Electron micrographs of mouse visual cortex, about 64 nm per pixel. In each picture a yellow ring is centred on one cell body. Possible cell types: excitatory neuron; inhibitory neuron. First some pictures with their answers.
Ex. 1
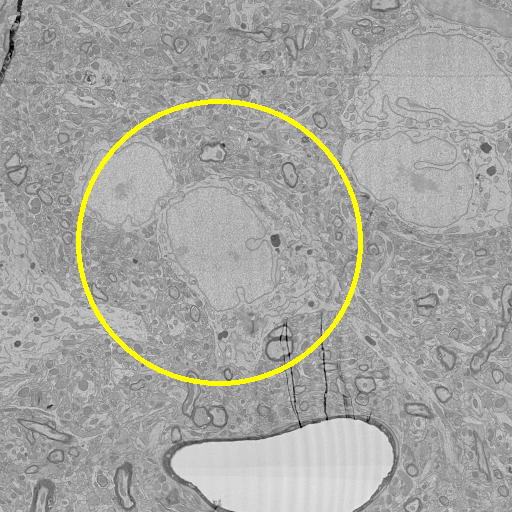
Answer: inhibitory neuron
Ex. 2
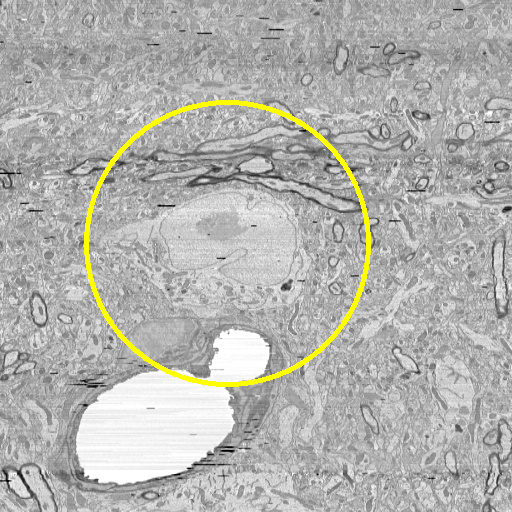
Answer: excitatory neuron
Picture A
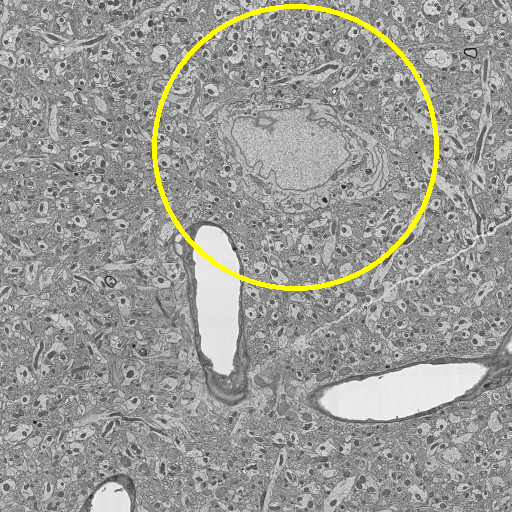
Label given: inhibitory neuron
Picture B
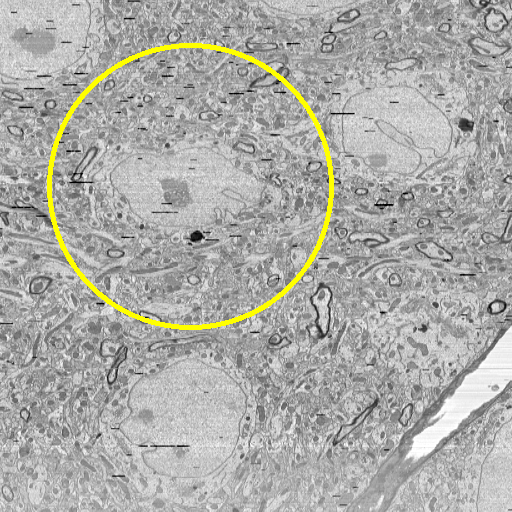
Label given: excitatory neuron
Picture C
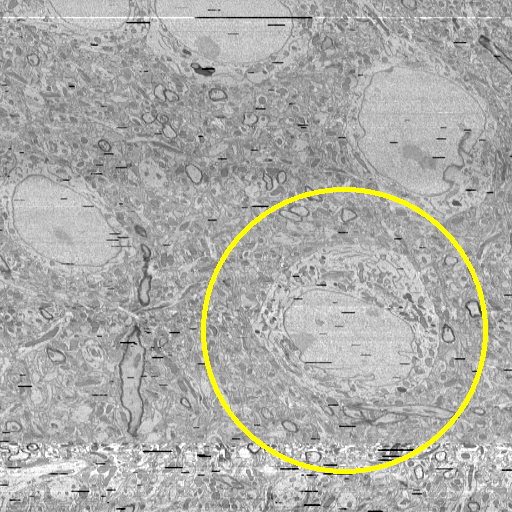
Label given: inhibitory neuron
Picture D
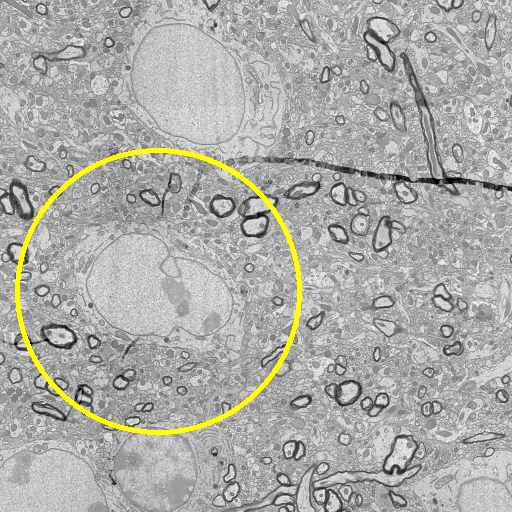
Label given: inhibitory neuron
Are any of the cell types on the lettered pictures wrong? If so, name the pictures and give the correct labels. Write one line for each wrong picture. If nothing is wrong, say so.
B: change excitatory neuron to inhibitory neuron
D: change inhibitory neuron to excitatory neuron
